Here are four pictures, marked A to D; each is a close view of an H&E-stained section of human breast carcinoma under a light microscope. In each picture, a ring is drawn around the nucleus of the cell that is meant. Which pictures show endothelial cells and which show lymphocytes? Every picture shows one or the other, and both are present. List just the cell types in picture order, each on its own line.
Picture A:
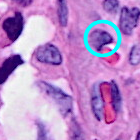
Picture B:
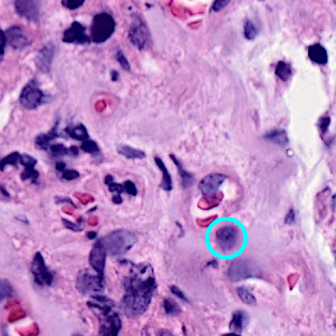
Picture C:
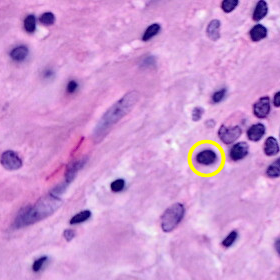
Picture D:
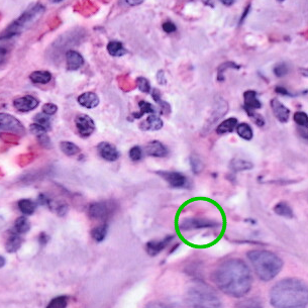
endothelial cell
endothelial cell
lymphocyte
endothelial cell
